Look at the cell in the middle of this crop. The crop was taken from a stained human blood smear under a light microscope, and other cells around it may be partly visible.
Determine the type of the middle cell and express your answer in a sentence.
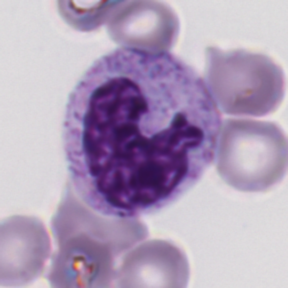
The central cell shown in this smear crop is a band neutrophil.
